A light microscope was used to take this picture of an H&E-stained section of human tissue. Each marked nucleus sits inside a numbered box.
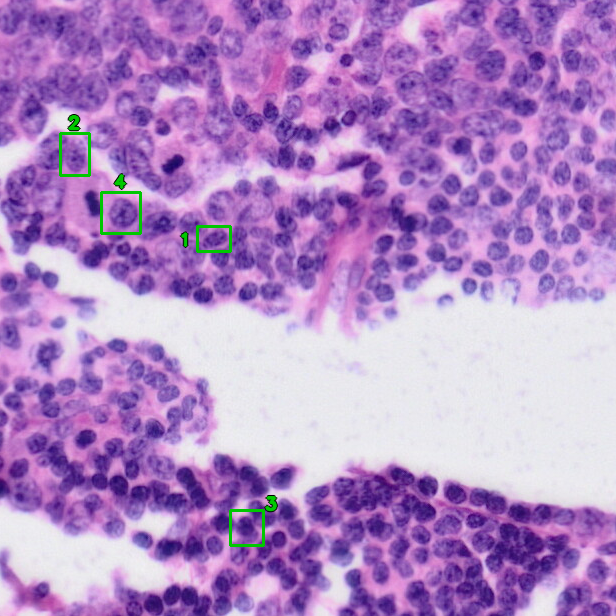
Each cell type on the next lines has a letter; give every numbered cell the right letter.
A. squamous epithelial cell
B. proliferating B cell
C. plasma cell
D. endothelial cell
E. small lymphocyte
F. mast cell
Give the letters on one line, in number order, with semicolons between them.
B; B; E; B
